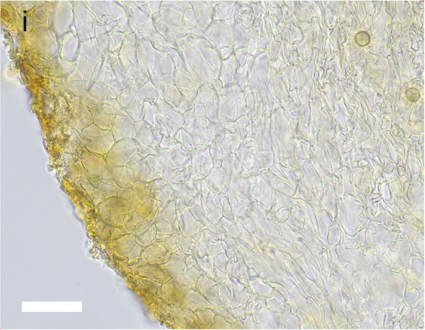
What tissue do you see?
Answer: Peridium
